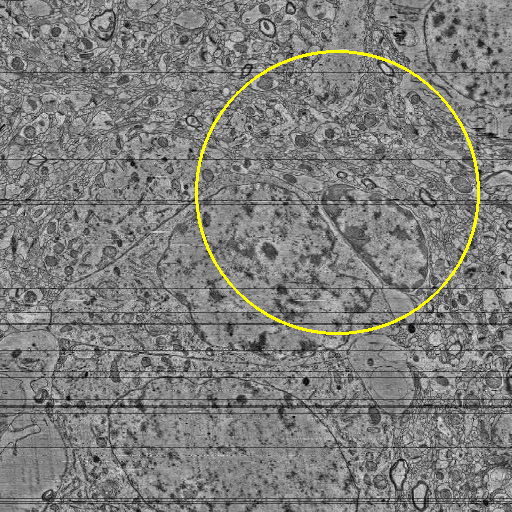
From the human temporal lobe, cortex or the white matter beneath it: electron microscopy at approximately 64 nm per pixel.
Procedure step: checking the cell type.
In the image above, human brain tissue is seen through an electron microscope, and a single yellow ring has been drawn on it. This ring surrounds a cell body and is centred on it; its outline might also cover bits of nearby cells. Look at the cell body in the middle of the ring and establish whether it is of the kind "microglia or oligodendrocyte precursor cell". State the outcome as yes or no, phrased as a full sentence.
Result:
Yes, the cell body at the ring's centre in the image is of the kind in question.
